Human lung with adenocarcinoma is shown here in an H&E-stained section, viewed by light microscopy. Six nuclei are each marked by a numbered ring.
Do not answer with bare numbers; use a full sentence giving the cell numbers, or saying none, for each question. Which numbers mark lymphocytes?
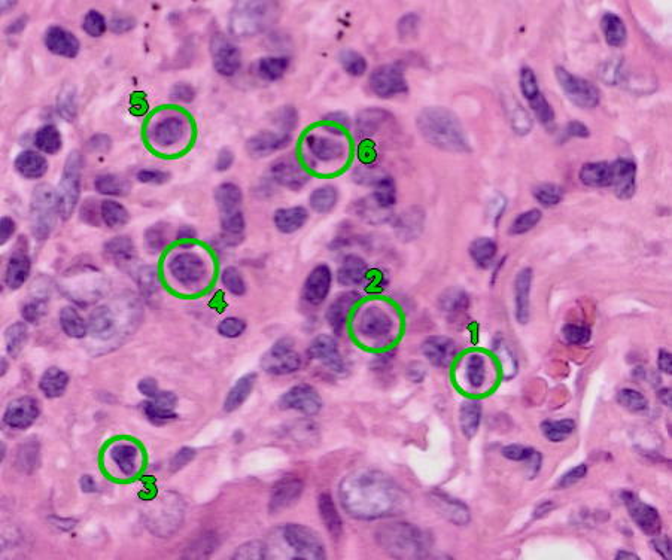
The numbers 1, 2, 3 and 6 refer to cells that are lymphocytes.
